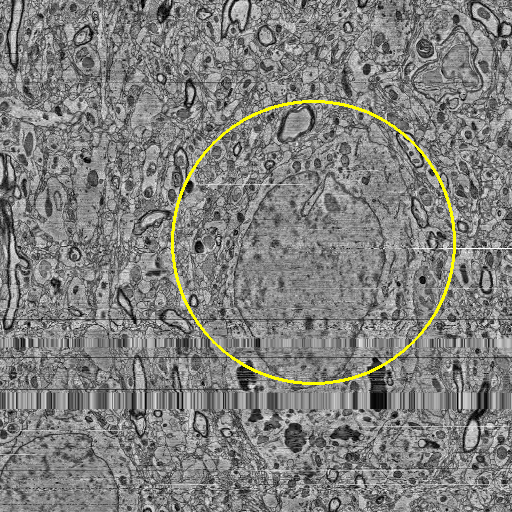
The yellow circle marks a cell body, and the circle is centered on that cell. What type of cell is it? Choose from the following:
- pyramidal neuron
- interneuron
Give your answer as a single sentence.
This cell body belongs to an interneuron.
